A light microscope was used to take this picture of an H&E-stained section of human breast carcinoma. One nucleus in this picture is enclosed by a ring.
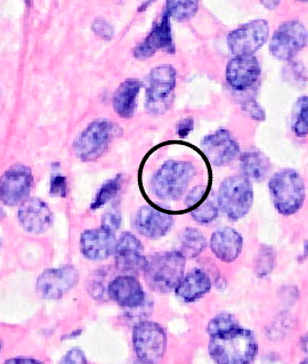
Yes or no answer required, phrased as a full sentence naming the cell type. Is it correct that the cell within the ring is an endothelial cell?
No, the cell within the ring is a carcinoma cell and should not be read as an endothelial cell.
